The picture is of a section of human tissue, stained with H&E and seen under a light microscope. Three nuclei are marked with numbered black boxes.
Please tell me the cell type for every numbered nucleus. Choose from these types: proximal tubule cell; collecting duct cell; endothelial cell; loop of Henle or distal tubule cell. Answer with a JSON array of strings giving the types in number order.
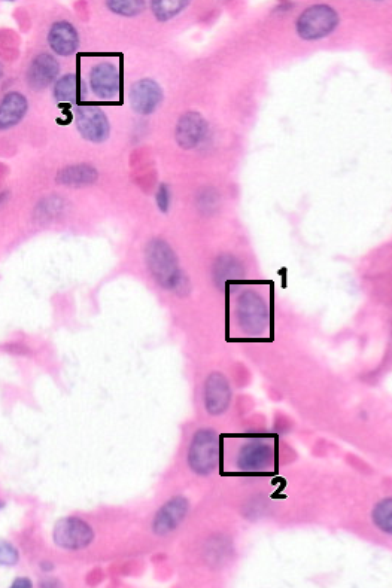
["proximal tubule cell", "endothelial cell", "collecting duct cell"]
